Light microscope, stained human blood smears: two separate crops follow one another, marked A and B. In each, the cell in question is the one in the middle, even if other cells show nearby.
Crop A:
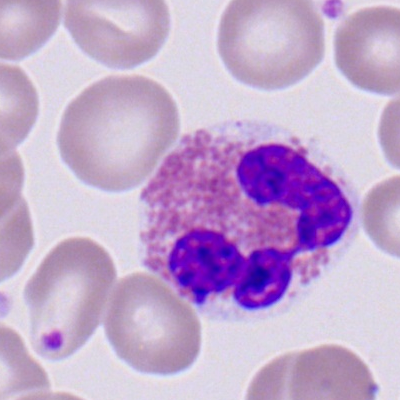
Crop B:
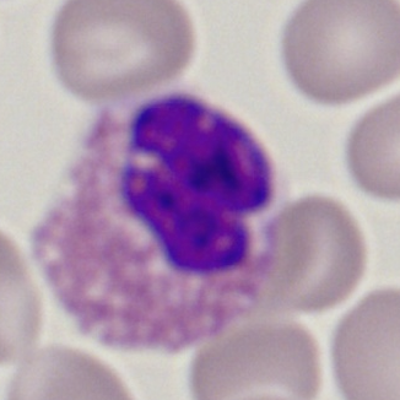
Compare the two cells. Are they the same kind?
yes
